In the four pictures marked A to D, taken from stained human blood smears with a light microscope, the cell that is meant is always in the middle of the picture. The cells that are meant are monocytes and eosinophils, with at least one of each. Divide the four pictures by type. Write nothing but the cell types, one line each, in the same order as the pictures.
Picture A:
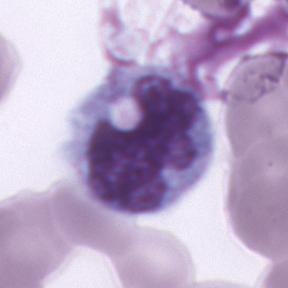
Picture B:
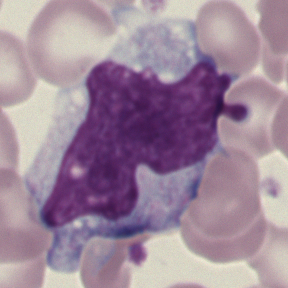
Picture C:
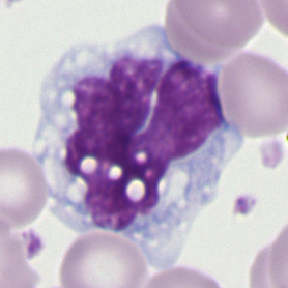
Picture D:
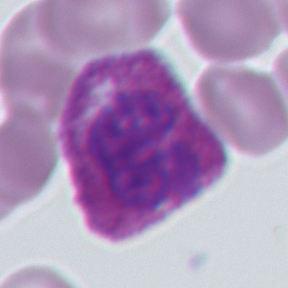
monocyte
monocyte
monocyte
eosinophil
